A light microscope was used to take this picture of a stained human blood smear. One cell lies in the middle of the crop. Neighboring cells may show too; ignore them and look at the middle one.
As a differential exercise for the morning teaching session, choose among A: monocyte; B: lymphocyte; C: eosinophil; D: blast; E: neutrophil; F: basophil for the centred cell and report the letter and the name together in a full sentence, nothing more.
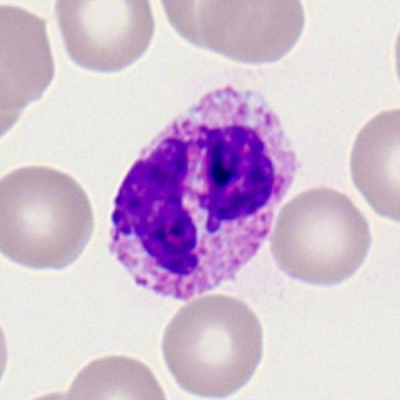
The cell in the middle is correctly identified as a basophil in option F.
